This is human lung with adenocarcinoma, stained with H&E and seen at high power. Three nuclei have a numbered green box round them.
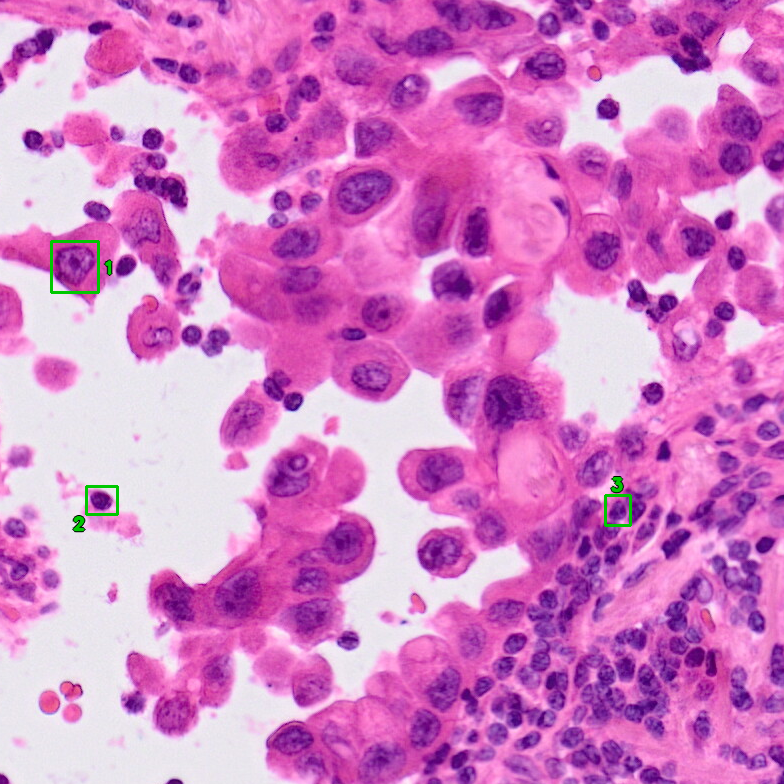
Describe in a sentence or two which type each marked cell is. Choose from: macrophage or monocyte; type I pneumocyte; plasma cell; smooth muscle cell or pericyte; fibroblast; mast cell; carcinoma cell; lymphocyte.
Cell 1 is a carcinoma cell. Cells 2 and 3 are lymphocytes.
